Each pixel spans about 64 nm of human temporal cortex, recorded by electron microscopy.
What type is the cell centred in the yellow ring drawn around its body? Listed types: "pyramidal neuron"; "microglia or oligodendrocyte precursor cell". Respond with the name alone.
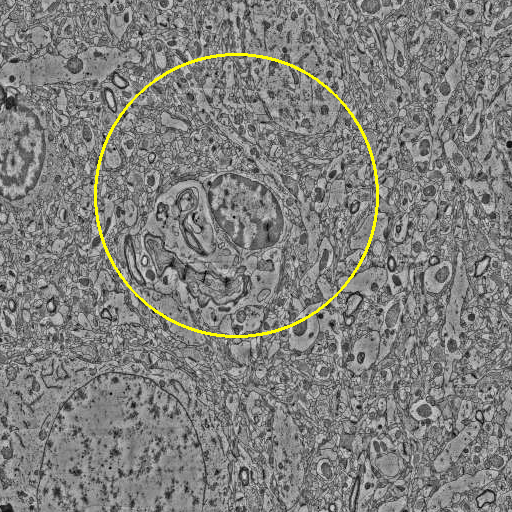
microglia or oligodendrocyte precursor cell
